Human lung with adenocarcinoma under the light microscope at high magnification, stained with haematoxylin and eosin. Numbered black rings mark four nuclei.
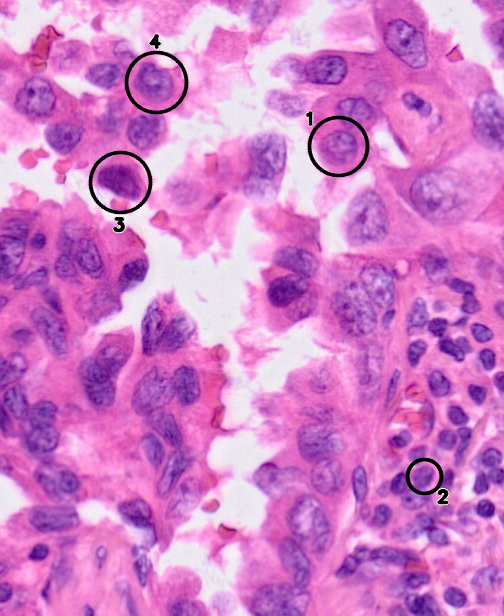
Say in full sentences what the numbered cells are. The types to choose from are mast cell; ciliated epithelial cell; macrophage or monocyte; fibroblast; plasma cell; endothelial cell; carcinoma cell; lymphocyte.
Cells 1, 3 and 4 are carcinoma cells. Cell 2 is a lymphocyte.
